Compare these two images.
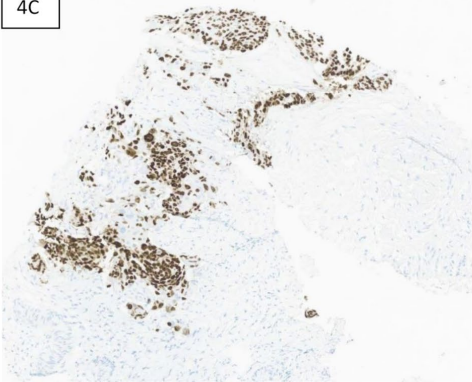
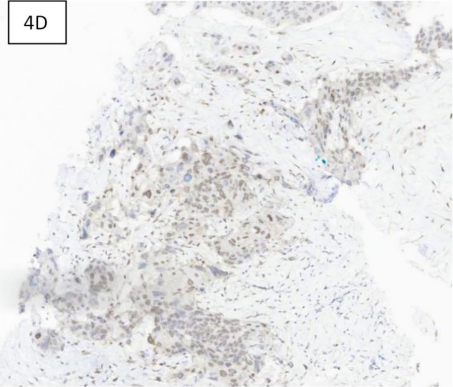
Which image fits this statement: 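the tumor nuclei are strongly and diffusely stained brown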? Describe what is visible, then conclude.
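The first image. Second image: tumor nuclei show faint, uneven light brown staining. First image: nearly all tumor nuclei are intensely dark brown.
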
